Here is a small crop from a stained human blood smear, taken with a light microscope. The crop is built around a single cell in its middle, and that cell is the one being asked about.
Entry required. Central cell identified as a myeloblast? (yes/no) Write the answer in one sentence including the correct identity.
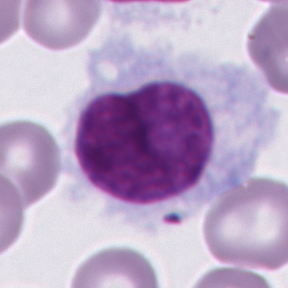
No, it is not a myeloblast that sits at the centre but a hairy cell.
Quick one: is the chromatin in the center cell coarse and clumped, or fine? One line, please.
The nuclear chromatin is fine, showing no coarse aggregates.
